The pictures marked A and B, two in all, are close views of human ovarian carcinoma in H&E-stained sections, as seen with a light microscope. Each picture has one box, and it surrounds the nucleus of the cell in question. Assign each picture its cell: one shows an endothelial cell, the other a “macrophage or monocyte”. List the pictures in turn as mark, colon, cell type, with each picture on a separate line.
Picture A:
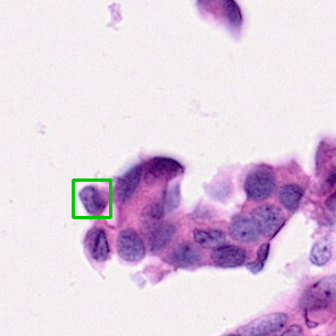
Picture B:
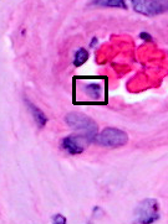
A: macrophage or monocyte
B: endothelial cell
